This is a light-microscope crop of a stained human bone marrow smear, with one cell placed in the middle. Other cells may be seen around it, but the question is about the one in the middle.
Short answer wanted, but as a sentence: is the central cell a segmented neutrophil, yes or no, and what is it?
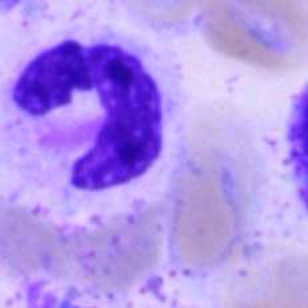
No, instead of a segmented neutrophil, the middle cell is a band neutrophil.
